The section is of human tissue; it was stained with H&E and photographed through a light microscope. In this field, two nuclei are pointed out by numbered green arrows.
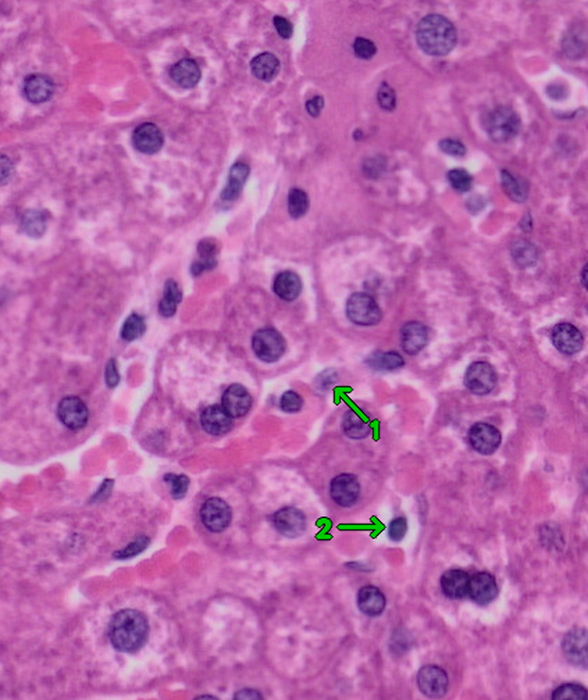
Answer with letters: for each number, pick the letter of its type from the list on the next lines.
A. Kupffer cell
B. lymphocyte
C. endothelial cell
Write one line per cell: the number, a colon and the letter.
1: A
2: B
